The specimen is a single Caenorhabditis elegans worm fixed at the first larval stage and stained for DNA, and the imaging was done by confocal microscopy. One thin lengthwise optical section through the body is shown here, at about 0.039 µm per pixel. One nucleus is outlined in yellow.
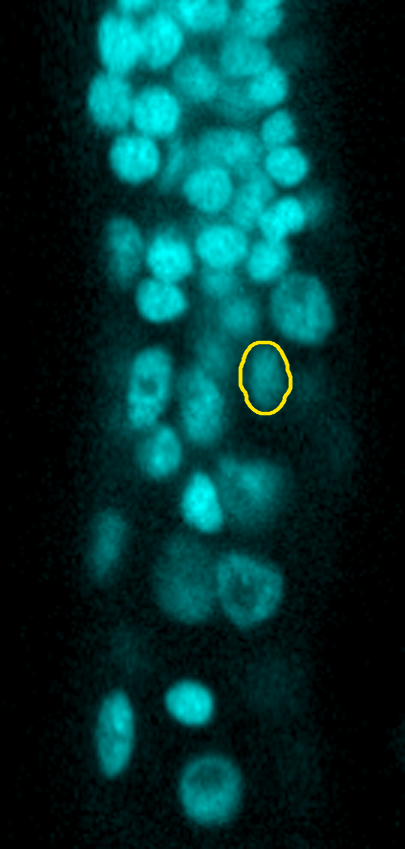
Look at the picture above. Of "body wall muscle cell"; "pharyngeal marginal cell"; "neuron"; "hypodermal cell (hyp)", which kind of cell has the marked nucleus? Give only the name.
pharyngeal marginal cell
